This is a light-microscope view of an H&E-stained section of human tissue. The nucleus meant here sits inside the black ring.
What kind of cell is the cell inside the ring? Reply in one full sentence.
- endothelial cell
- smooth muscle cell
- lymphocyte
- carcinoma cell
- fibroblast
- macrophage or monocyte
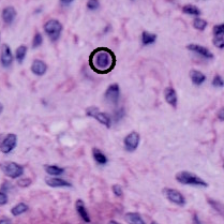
Microscopically, the cell inside the ring is categorized as a smooth muscle cell.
